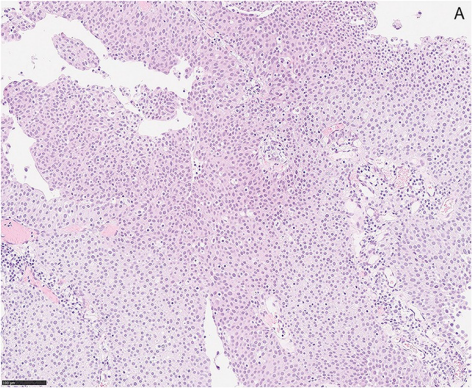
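This is papillary urothelial carcinoma: broad, thickened sheets of tumour urothelial cells fill most of the field. The cells are crowded and piled many layers deep, with round to oval nuclei and pale pink cytoplasm. Thin strands of stroma carrying small vessels run between the sheets, forming the cores of the papillary fronds. Along the edges the cells border open clefts of empty space. Small dark lymphocyte-like nuclei gather within some of the stromal strands.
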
